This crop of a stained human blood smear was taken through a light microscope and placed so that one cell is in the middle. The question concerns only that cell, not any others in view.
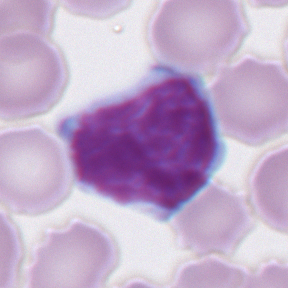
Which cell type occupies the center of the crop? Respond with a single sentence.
As for the central cell, it is a typical lymphocyte.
